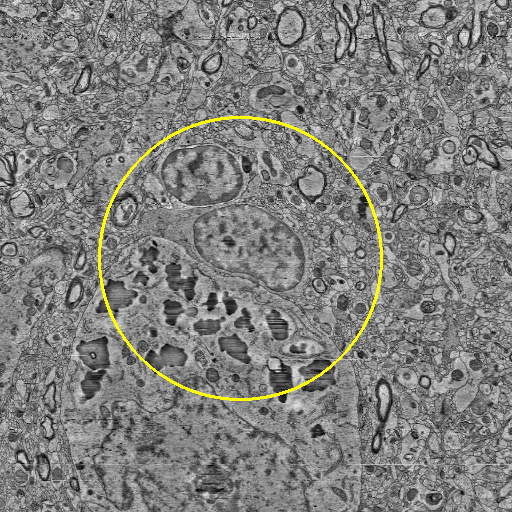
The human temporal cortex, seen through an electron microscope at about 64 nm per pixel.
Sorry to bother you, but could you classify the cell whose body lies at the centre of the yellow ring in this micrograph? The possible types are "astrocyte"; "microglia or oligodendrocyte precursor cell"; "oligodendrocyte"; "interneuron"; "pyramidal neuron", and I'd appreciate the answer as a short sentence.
The ringed cell body is that of an oligodendrocyte.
